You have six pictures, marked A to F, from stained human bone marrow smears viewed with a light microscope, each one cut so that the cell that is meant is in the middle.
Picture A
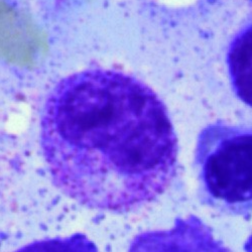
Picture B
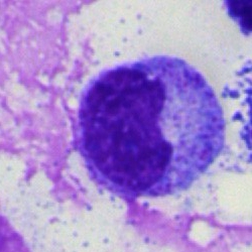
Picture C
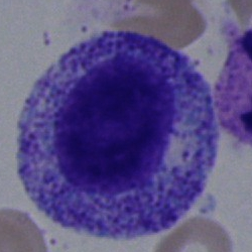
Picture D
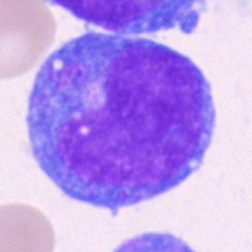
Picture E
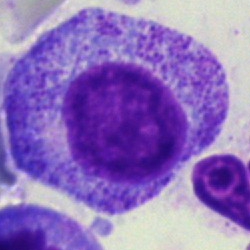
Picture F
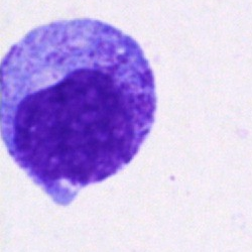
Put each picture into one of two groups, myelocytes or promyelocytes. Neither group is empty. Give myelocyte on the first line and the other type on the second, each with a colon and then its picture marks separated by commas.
myelocyte: A, B, C, E
promyelocyte: D, F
